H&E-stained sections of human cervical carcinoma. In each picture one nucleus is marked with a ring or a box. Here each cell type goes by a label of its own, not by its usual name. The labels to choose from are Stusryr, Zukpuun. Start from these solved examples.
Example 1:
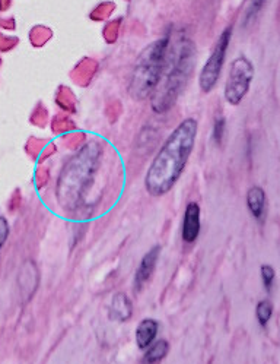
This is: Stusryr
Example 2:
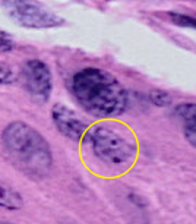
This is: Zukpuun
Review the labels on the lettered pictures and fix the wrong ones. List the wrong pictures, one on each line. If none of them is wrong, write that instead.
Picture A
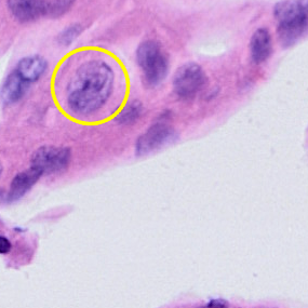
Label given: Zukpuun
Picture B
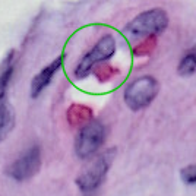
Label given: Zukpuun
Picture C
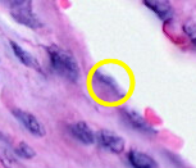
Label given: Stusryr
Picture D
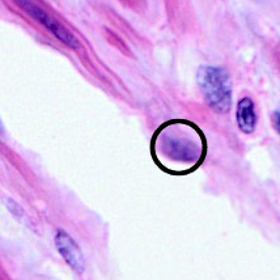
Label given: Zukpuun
B: not Zukpuun but Stusryr
D: not Zukpuun but Stusryr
